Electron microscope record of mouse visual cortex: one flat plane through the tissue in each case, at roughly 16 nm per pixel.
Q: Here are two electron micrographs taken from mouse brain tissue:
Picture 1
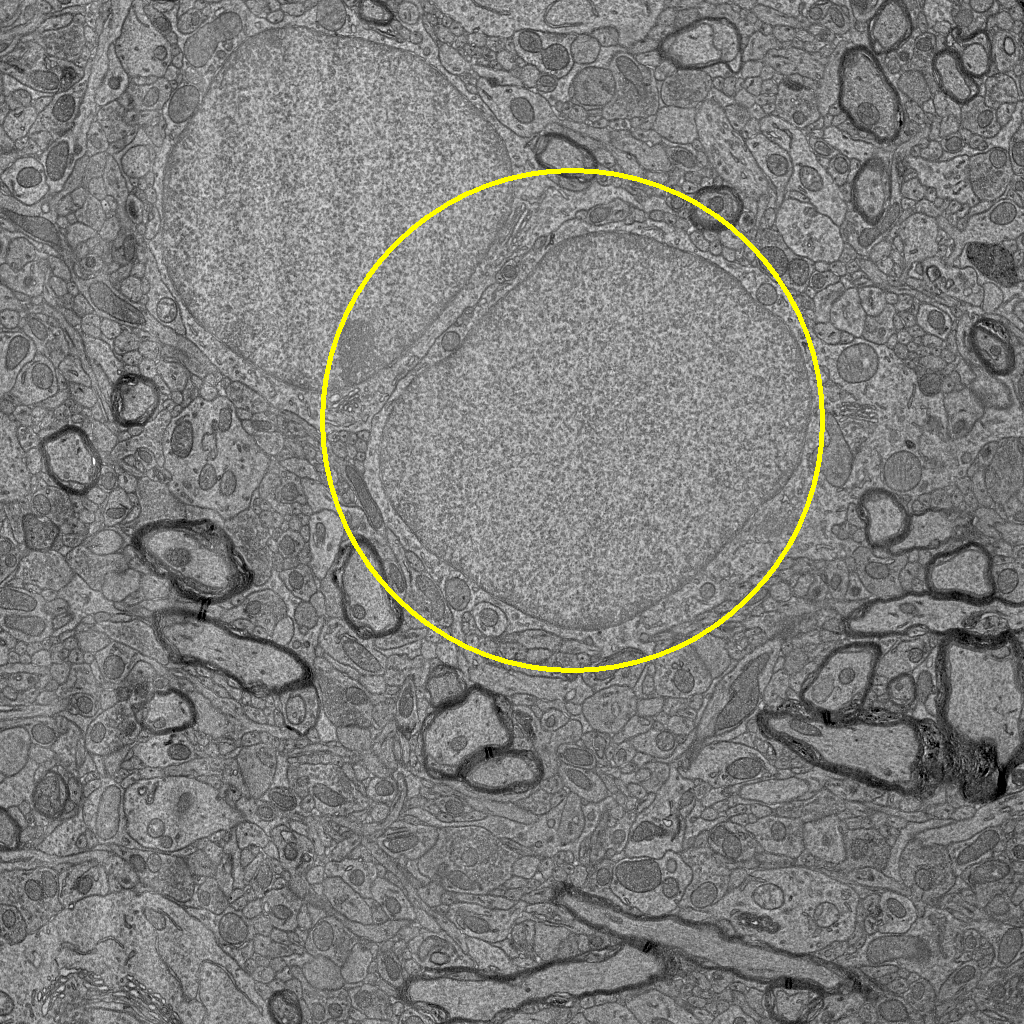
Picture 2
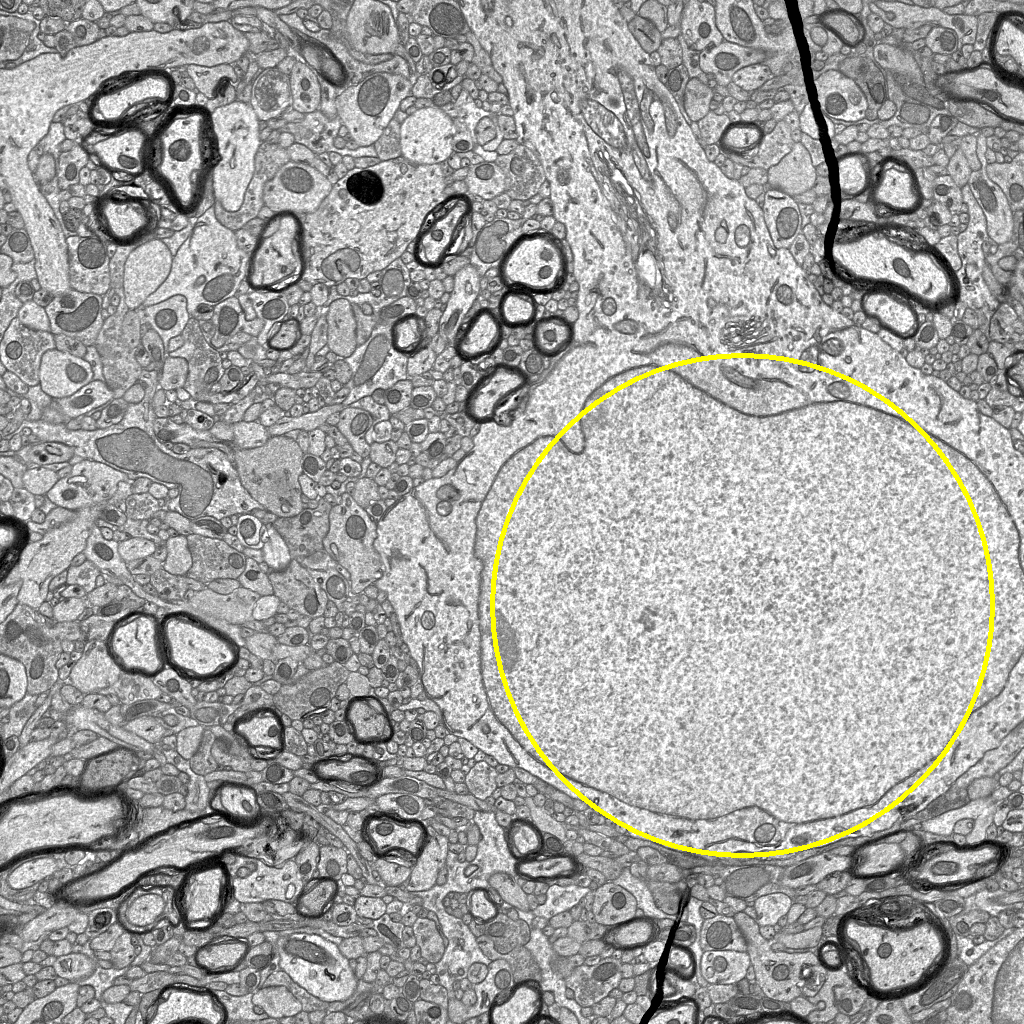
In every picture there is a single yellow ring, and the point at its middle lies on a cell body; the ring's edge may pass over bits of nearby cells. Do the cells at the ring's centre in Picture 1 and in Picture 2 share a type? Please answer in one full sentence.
No, the cells at the ring's centre in Picture 1 and Picture 2 are of two types.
